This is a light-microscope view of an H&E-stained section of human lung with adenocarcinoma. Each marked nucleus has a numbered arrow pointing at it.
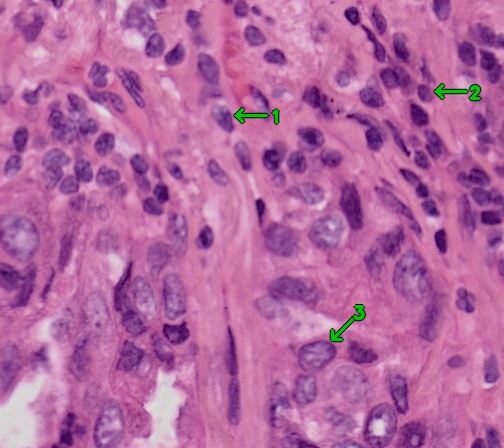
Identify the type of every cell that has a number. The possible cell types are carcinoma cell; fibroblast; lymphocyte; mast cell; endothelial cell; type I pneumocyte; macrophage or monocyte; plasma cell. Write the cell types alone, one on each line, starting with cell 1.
lymphocyte
lymphocyte
carcinoma cell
